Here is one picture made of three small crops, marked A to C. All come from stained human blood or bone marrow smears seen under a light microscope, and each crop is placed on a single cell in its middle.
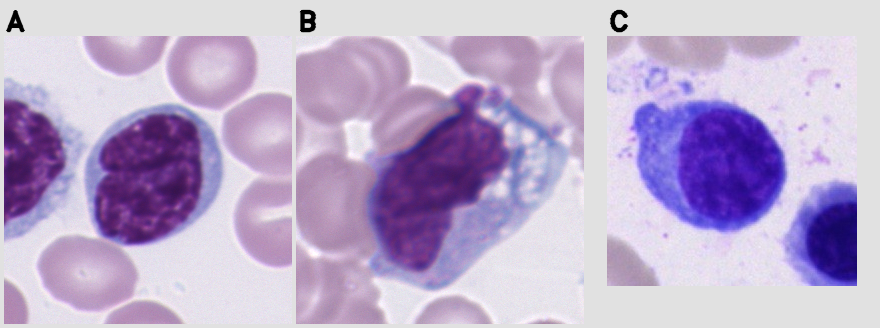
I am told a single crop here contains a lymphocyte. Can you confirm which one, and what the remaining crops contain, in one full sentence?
So crop A shows a lymphocyte, while crop B is a monocyte and crop C is a plasma cell.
